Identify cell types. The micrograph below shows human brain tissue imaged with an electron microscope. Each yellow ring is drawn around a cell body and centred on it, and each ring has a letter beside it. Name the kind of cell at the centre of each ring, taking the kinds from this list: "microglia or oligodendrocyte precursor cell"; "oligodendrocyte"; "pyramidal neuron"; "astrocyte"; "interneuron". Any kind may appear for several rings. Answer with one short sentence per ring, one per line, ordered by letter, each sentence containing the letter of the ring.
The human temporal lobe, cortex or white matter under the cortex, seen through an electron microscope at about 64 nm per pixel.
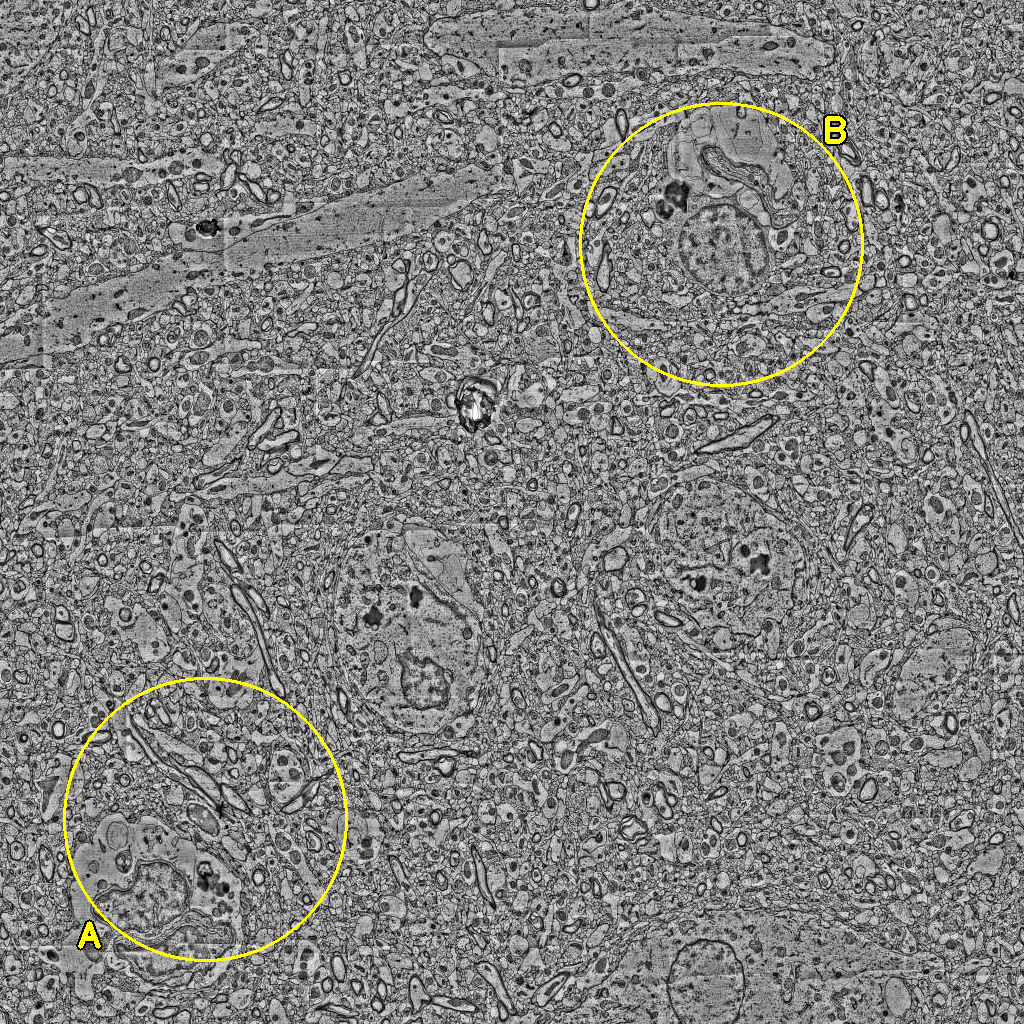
Ring A marks a microglial cell or oligodendrocyte precursor cell.
Ring B marks an oligodendrocyte.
